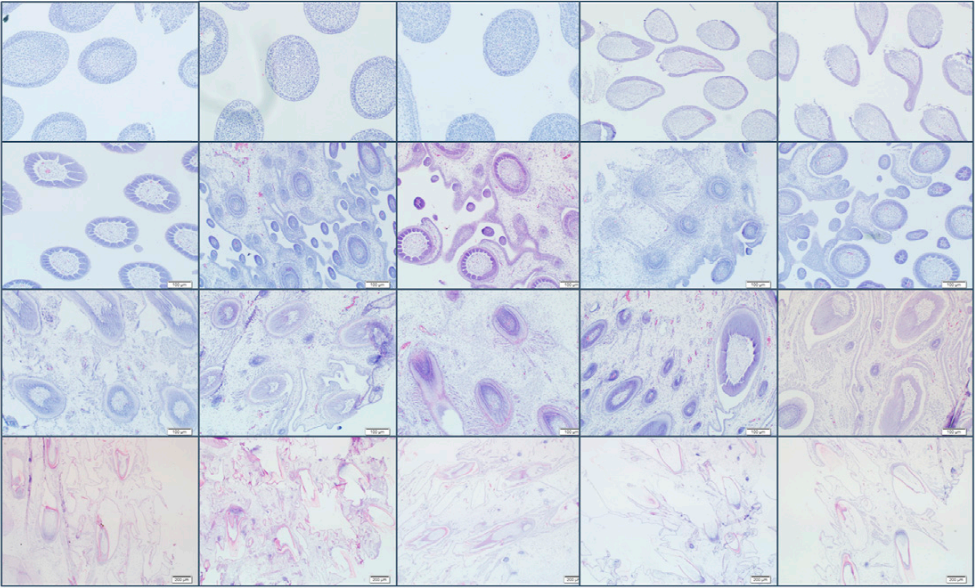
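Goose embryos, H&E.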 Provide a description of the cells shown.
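Some cross sections show a scalloped ring of epithelial ridges arranged around a central core. In the lower rows the follicles are more elongated and are embedded in a looser, fibrous dermis. In the bottom row pink-staining keratinized, tube-like structures predominate and the purple cellular staining is sparse.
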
